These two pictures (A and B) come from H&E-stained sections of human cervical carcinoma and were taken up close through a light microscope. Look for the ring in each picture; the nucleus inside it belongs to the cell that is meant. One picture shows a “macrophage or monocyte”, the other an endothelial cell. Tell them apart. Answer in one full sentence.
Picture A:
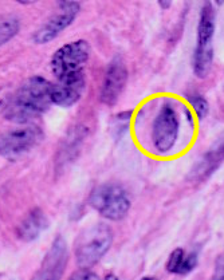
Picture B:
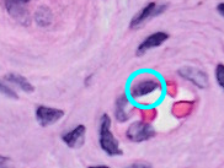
The cell in picture A is a “macrophage or monocyte”, and the one in picture B is an endothelial cell.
